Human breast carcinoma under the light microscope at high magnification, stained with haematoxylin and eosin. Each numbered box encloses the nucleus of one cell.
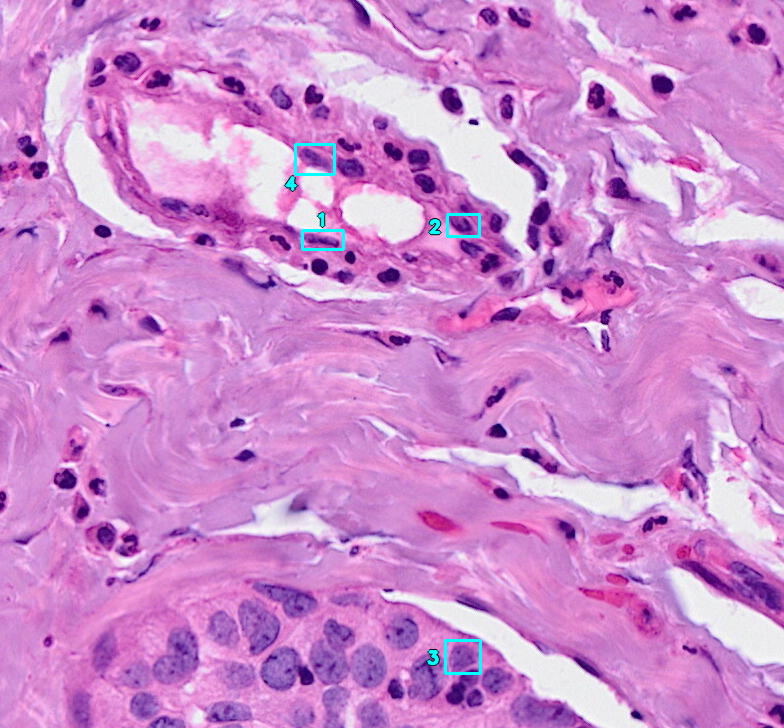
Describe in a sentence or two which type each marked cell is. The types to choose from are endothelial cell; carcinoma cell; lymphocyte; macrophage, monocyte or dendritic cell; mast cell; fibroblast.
Cells 1, 2 and 4 are endothelial cells. Cell 3 is a carcinoma cell.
